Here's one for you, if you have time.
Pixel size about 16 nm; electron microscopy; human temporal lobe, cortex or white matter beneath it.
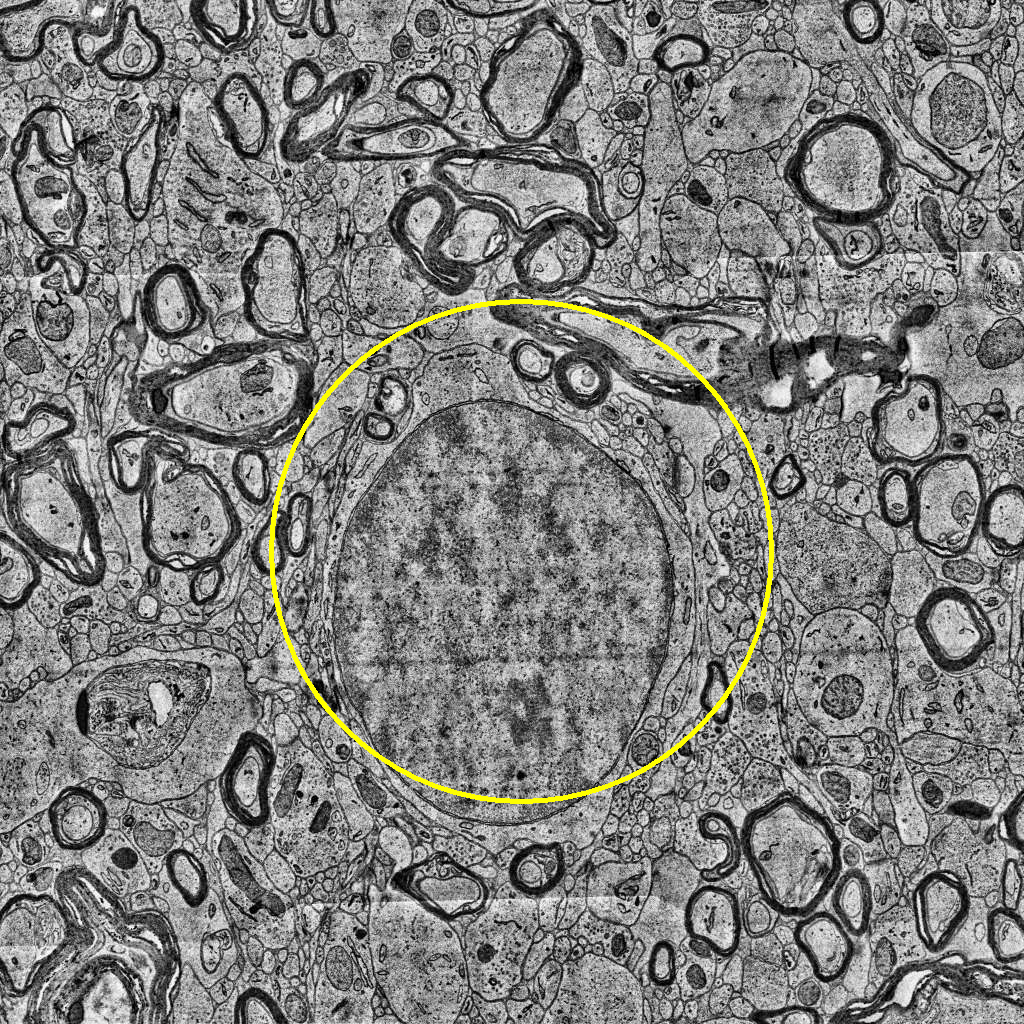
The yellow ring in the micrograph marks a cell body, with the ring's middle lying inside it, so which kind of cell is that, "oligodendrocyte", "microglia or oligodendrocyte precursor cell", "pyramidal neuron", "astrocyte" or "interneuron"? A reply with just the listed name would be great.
microglia or oligodendrocyte precursor cell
